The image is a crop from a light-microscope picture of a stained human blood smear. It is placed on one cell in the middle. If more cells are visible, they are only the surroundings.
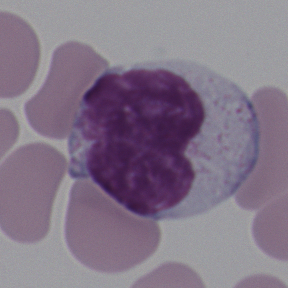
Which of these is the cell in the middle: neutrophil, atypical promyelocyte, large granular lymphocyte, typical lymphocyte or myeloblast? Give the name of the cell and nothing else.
large granular lymphocyte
